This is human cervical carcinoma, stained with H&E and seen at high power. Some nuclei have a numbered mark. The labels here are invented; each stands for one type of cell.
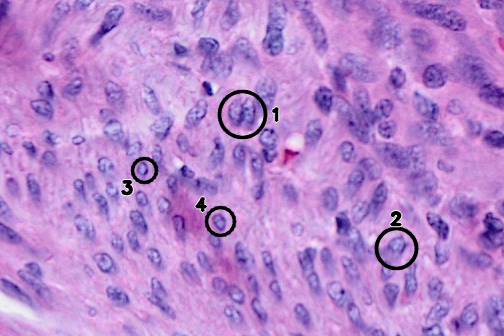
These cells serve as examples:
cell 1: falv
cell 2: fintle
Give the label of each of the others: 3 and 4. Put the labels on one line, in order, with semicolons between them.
fintle; fintle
